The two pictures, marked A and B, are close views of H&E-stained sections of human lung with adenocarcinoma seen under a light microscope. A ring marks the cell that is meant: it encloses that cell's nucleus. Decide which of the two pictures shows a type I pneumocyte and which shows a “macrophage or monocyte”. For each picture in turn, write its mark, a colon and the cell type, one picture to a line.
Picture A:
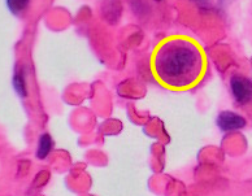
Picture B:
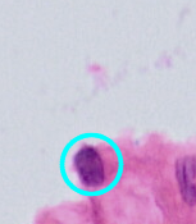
A: macrophage or monocyte
B: type I pneumocyte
